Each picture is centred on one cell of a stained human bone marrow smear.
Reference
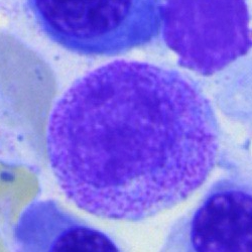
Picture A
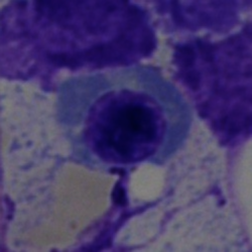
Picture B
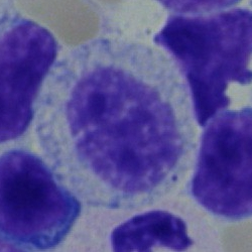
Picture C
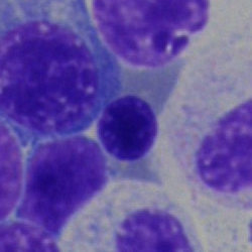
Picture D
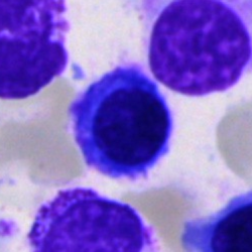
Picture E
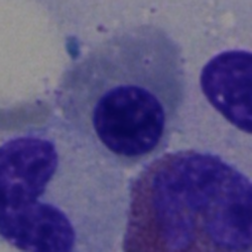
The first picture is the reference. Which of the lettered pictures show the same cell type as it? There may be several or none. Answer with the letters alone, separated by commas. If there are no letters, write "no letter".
B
